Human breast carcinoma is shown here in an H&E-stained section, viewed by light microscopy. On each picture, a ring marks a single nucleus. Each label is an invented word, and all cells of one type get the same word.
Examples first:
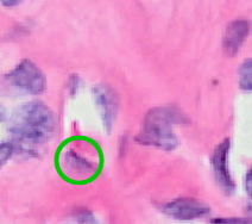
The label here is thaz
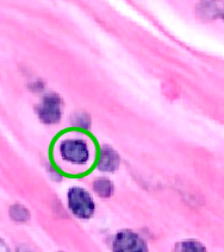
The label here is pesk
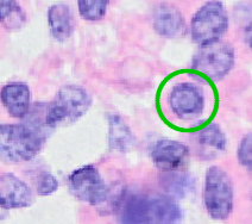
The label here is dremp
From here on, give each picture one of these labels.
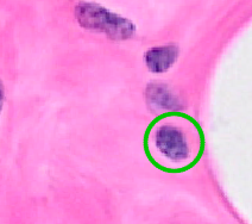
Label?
pesk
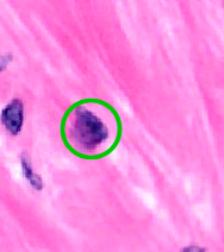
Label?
pesk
